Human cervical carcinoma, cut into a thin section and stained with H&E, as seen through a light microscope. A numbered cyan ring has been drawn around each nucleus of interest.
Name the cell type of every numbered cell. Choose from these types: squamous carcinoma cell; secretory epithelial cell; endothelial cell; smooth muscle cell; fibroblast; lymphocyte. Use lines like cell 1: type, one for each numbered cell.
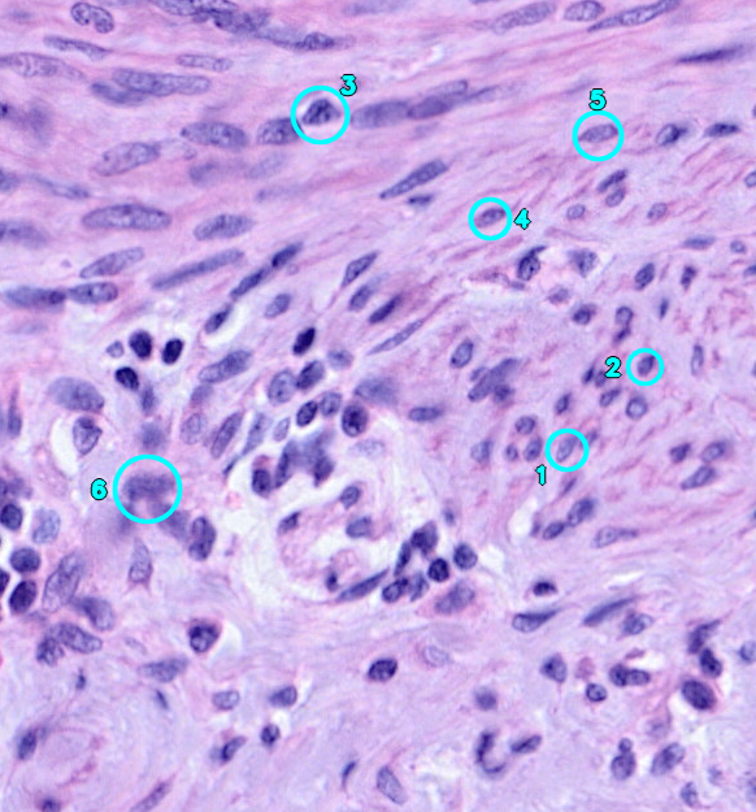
cell 1: smooth muscle cell
cell 2: smooth muscle cell
cell 3: lymphocyte
cell 4: smooth muscle cell
cell 5: smooth muscle cell
cell 6: fibroblast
